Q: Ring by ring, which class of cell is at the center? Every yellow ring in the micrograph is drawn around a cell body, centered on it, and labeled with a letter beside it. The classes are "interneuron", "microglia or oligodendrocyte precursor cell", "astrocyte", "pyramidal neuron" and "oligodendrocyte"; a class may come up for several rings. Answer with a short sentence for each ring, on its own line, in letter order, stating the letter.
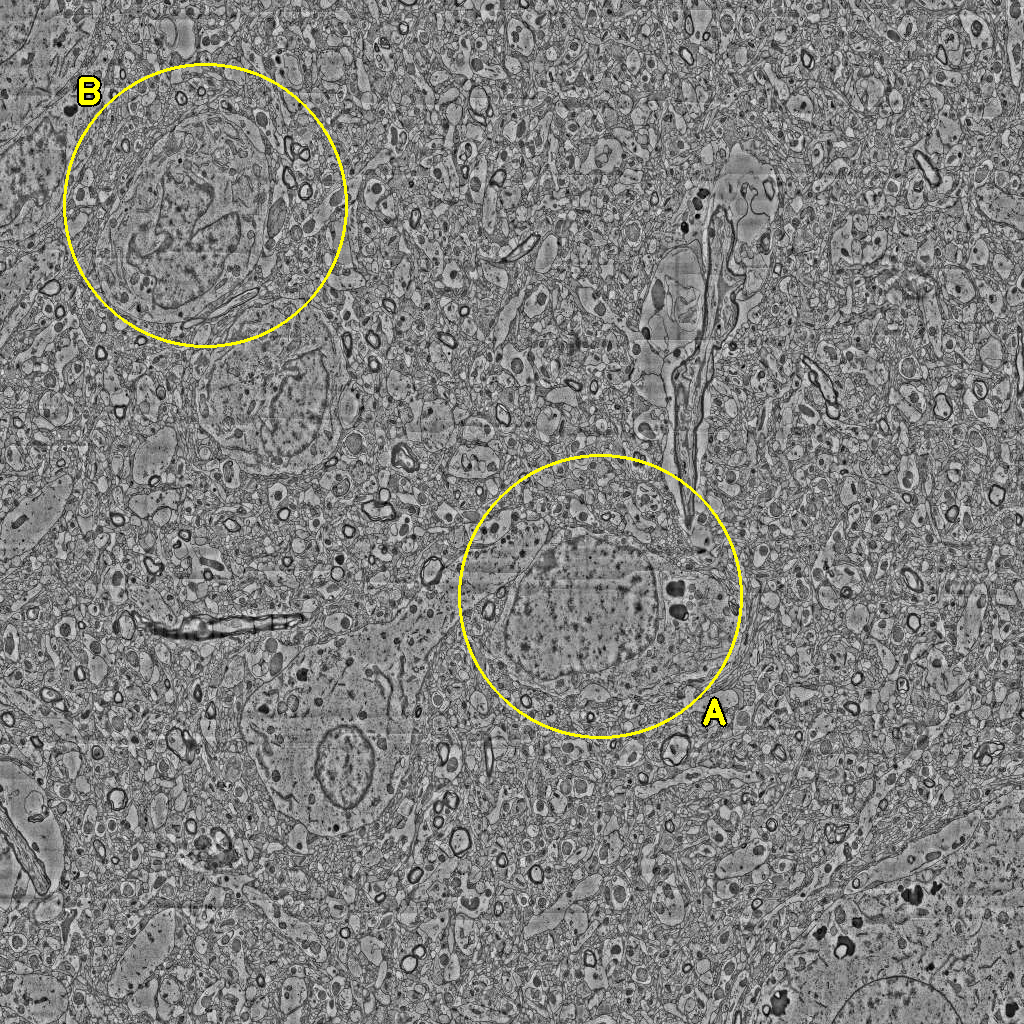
Ring A holds an interneuron at its center.
Ring B holds an interneuron at its center.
